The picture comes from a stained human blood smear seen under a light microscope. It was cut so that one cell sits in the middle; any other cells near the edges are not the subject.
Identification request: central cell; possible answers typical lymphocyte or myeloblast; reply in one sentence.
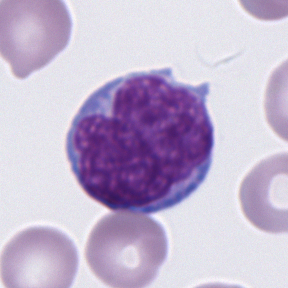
As for the central cell, it is a myeloblast.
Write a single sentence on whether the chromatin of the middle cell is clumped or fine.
Thanks for asking; the chromatin is coarsely clumped.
